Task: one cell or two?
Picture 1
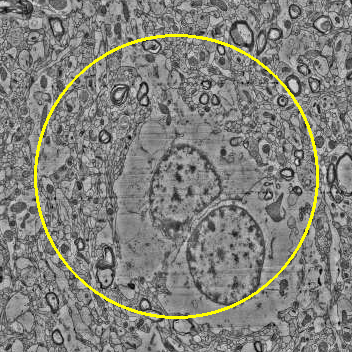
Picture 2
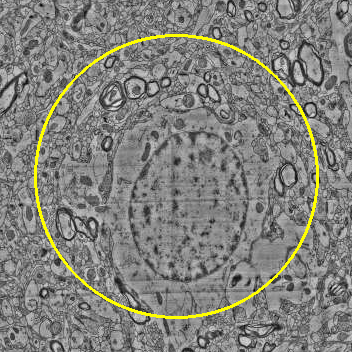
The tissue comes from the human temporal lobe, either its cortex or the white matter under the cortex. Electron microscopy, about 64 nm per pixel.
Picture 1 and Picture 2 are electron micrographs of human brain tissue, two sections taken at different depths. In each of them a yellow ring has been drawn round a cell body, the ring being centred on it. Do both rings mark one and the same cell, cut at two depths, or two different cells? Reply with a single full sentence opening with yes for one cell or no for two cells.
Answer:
Yes, both yellow rings mark one and the same cell.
